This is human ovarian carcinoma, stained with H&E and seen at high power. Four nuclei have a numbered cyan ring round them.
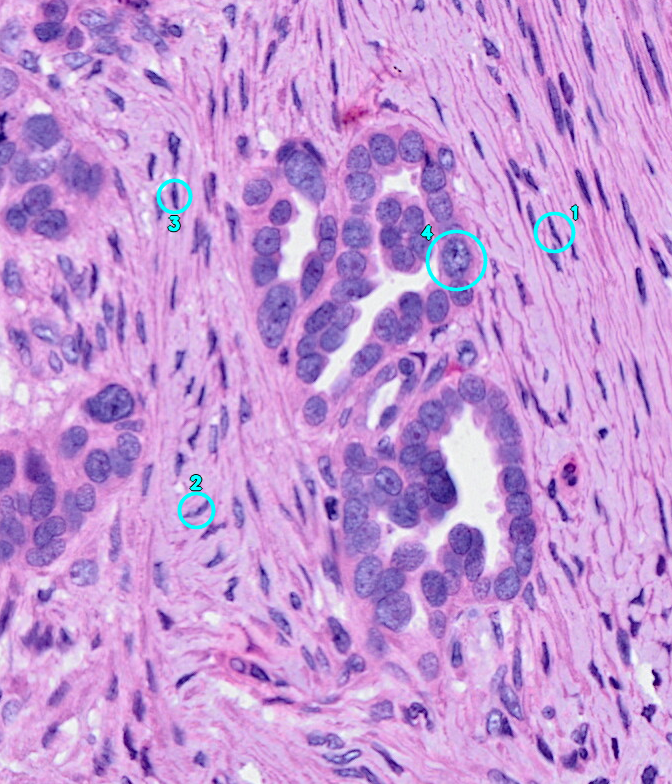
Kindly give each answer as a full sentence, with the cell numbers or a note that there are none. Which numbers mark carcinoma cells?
Cell 4 is the only one of the numbered cells that is a carcinoma cell.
